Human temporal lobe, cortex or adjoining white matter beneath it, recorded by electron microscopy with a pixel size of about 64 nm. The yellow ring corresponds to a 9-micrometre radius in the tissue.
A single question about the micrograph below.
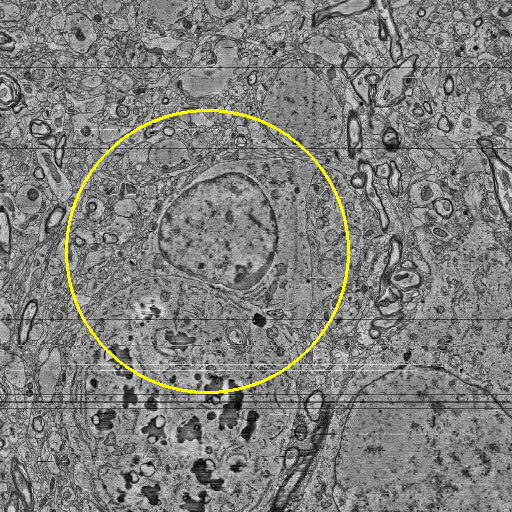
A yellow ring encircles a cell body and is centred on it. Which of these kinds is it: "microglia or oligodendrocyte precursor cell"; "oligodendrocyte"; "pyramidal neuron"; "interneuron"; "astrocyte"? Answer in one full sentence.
The cell body at the centre of the yellow ring belongs to a microglial cell or oligodendrocyte precursor cell.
